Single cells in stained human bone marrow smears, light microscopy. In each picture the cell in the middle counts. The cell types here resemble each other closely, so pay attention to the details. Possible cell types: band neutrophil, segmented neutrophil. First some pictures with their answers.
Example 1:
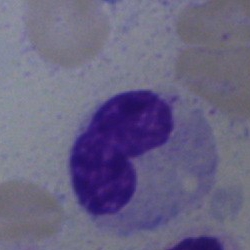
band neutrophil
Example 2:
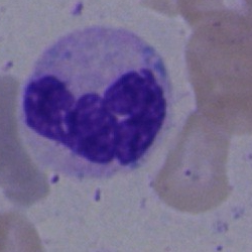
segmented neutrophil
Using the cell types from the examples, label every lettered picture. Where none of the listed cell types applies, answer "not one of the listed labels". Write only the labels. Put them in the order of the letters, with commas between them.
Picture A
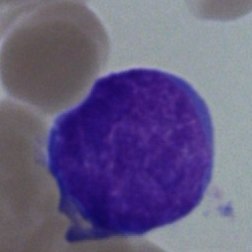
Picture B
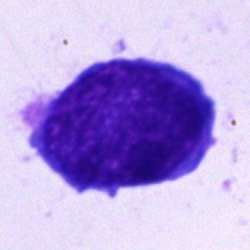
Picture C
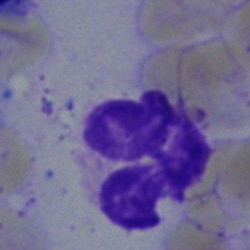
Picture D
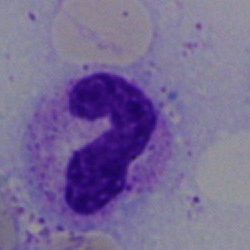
not one of the listed labels, not one of the listed labels, segmented neutrophil, band neutrophil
